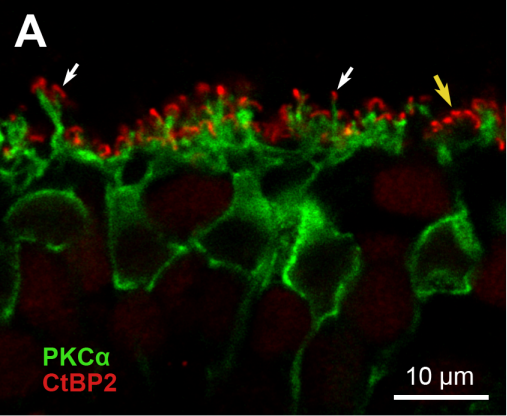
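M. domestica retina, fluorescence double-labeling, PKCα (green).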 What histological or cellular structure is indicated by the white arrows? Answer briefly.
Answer: Single-ribbon rod spherules.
